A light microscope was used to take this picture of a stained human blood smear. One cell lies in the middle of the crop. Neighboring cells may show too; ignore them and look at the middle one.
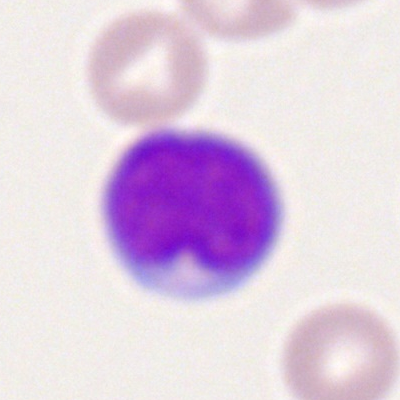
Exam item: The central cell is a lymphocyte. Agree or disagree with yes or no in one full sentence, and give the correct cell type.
No, the cell at the centre is identified as a myeloblast, not as a lymphocyte.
